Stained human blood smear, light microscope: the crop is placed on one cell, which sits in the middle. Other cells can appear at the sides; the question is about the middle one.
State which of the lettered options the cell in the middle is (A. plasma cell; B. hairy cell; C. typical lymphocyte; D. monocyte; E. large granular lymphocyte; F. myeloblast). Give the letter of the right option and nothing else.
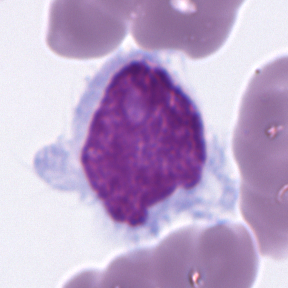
B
